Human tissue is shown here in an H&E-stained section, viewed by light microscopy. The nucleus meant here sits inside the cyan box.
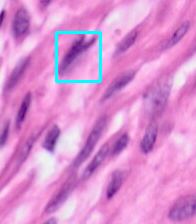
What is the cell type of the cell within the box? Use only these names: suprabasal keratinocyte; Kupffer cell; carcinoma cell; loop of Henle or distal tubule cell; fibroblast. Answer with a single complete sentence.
The cell within the box appears to be a fibroblast.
